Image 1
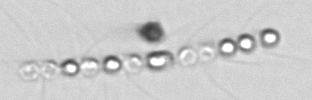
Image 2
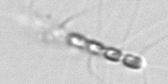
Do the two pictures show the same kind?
Yes, both are Chaetoceros.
